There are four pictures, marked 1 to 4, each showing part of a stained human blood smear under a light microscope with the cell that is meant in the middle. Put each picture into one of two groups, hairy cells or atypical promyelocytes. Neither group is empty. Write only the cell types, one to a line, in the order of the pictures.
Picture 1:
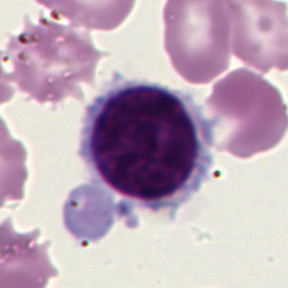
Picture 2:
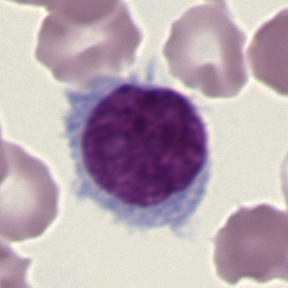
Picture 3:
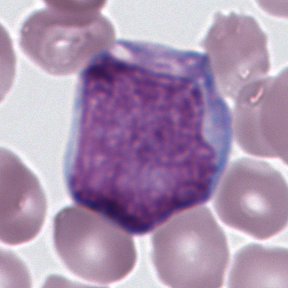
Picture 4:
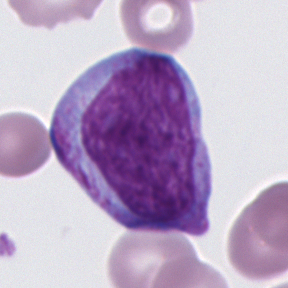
hairy cell
hairy cell
atypical promyelocyte
atypical promyelocyte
